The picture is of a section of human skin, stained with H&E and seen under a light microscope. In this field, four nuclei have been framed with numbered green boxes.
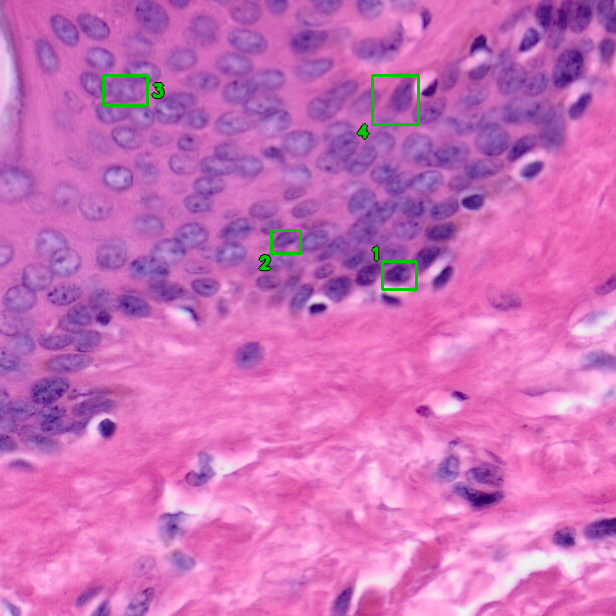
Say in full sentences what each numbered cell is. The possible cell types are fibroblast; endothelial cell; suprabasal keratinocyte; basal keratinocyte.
Cell 1 is a basal keratinocyte, cell 2 is a basal keratinocyte, cell 3 is a suprabasal keratinocyte and cell 4 is a basal keratinocyte.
